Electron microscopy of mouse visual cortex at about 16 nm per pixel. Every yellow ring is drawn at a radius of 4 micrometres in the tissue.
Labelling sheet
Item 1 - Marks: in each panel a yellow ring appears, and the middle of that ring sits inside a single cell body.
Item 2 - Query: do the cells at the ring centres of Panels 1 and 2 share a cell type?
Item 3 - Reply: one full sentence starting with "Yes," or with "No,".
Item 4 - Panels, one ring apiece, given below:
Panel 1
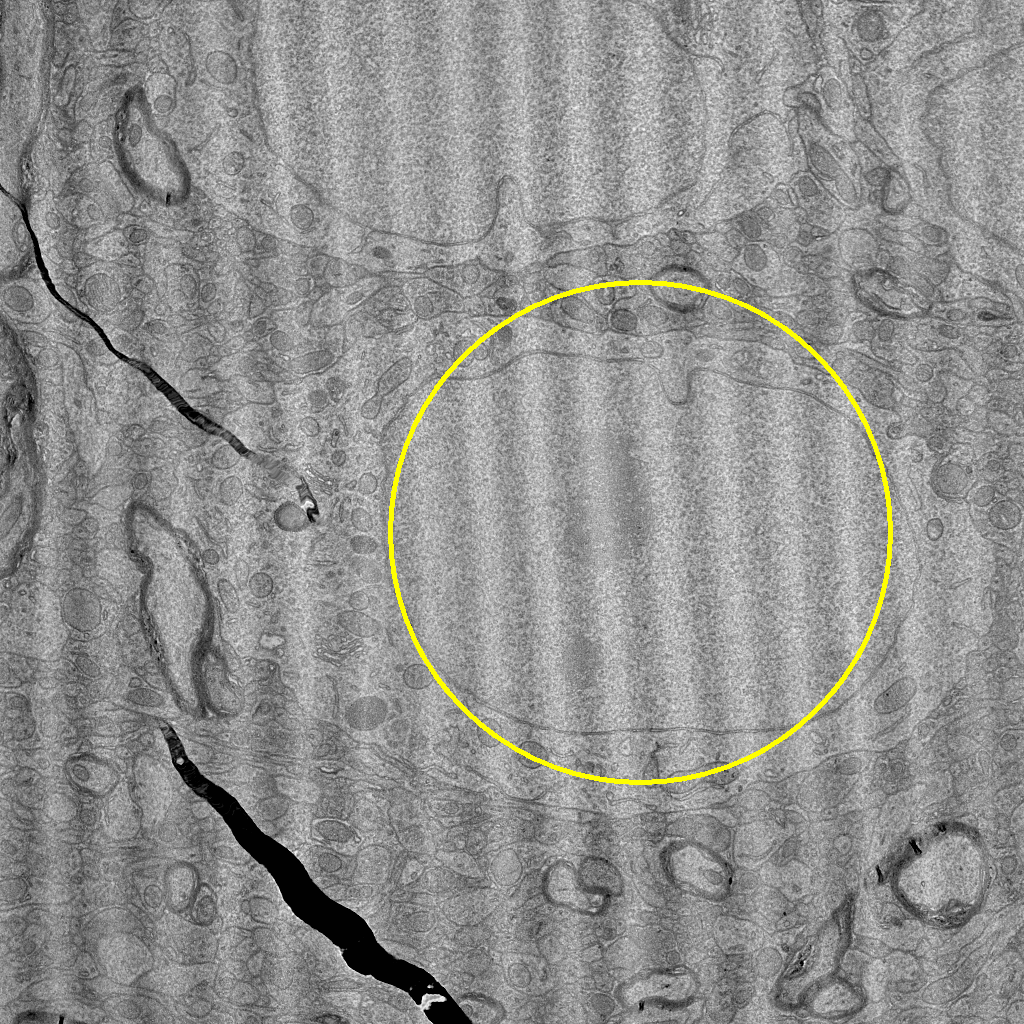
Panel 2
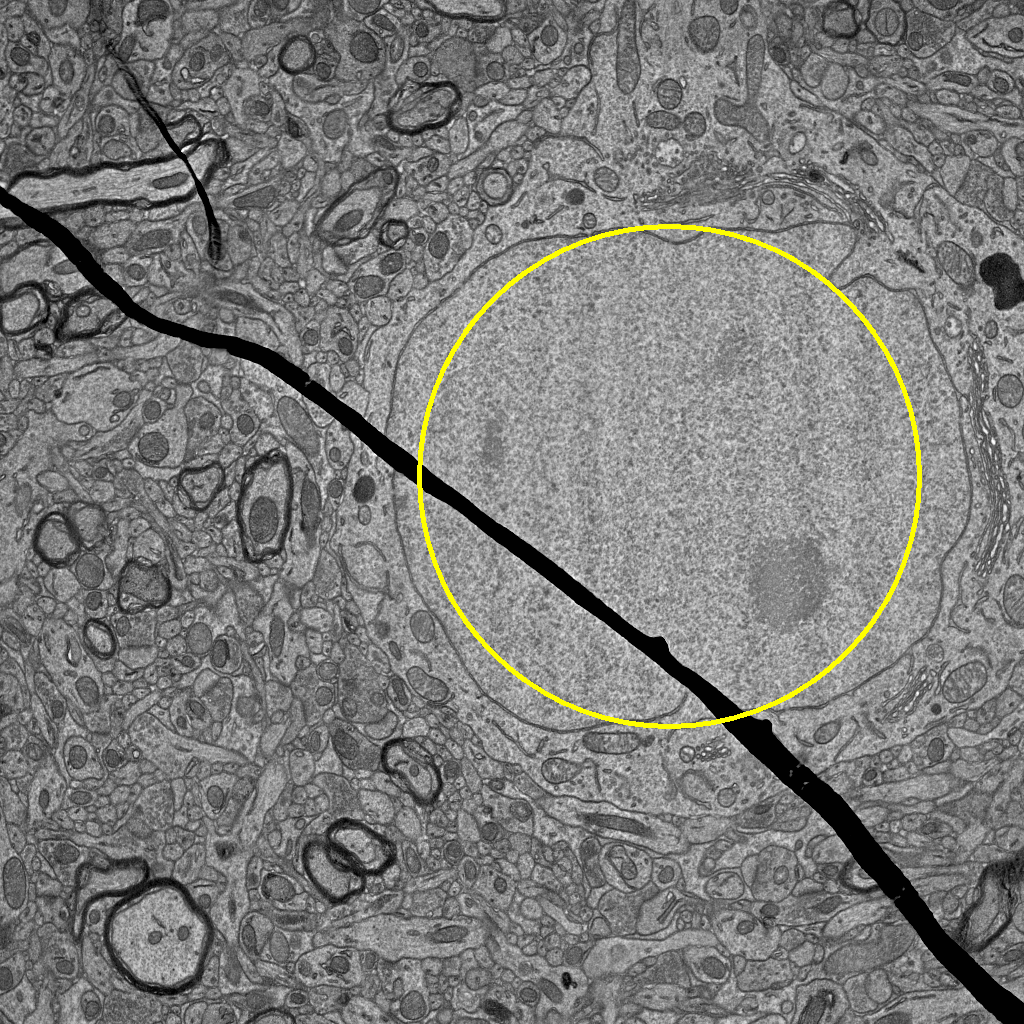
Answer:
Yes, Panel 1 and Panel 2 show one cell type at the centres of their rings.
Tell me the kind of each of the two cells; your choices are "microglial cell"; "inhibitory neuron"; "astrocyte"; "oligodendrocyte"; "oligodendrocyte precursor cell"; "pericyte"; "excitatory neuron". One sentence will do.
Both rings mark an excitatory neuron, one in each picture.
